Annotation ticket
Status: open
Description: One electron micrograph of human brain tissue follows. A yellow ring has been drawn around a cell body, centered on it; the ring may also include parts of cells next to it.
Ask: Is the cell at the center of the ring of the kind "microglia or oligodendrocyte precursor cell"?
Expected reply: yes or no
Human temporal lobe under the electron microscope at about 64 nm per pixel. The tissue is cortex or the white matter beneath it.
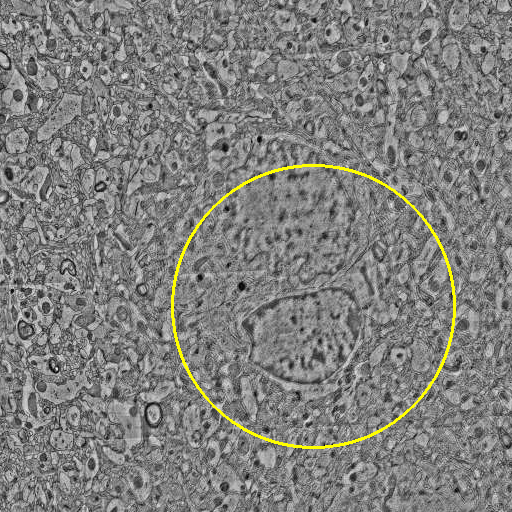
yes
